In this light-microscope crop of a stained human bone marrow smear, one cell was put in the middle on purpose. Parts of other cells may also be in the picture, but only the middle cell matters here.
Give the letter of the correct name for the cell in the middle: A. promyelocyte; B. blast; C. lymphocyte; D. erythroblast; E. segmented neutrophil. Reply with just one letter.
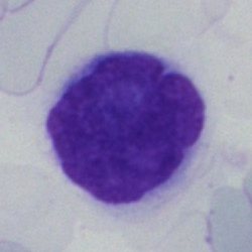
B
